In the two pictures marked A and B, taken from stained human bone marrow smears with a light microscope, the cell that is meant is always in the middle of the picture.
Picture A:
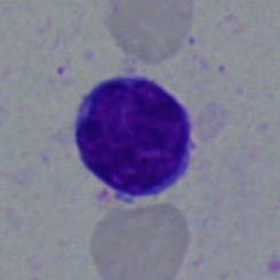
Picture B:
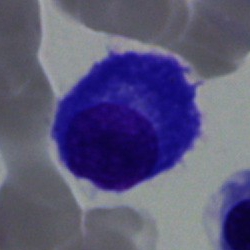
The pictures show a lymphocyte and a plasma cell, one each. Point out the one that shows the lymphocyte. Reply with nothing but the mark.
A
